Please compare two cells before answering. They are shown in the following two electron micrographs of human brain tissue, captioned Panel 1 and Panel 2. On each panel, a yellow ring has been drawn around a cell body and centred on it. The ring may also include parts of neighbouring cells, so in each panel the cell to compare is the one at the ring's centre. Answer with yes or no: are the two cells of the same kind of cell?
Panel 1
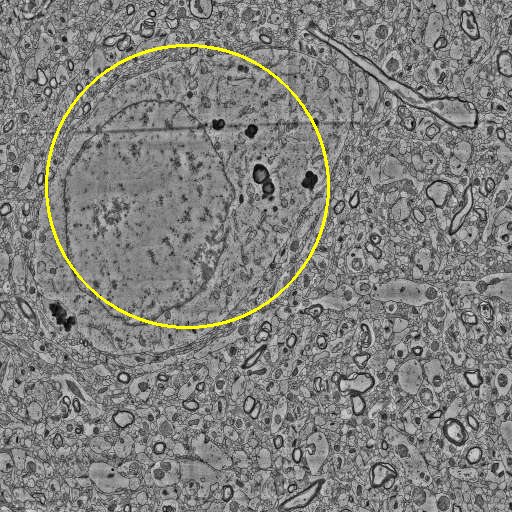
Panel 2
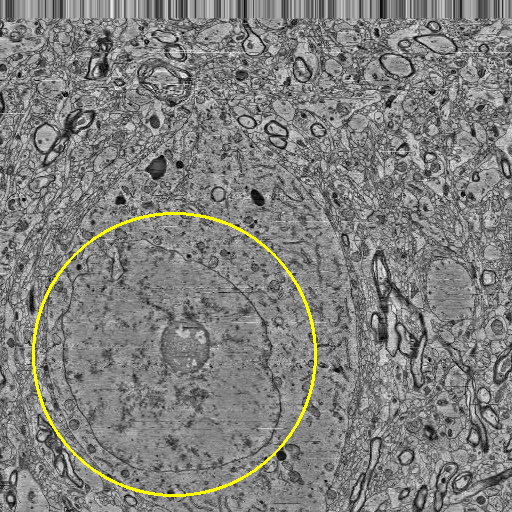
yes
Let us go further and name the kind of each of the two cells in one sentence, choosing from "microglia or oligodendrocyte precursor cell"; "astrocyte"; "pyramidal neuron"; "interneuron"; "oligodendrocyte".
Each of the ringed cells, first and second, is a pyramidal neuron.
